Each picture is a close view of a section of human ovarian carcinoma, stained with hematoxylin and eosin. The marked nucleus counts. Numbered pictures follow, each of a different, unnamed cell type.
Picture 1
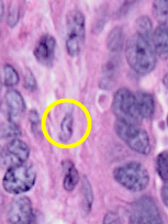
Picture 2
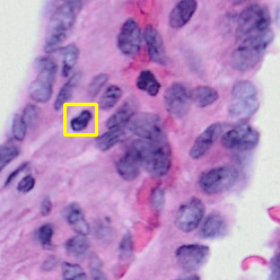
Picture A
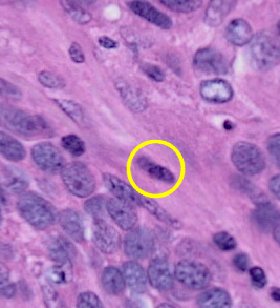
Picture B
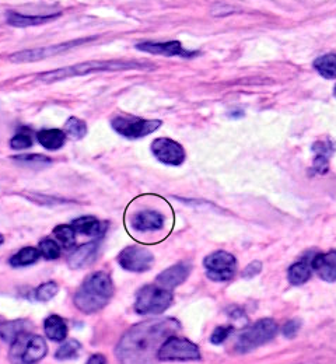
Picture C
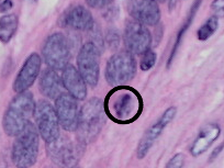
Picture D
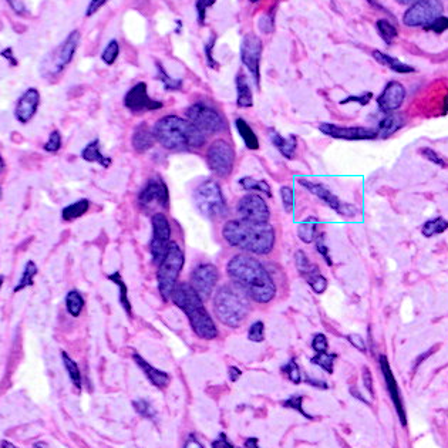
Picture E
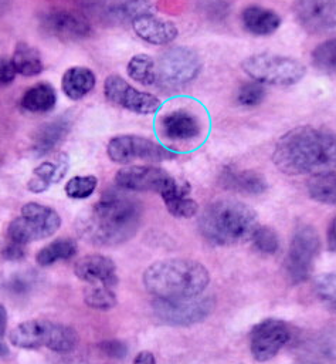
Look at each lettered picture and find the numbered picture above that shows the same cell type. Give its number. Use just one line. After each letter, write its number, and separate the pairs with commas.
A 2, B 2, C 2, D 1, E 2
